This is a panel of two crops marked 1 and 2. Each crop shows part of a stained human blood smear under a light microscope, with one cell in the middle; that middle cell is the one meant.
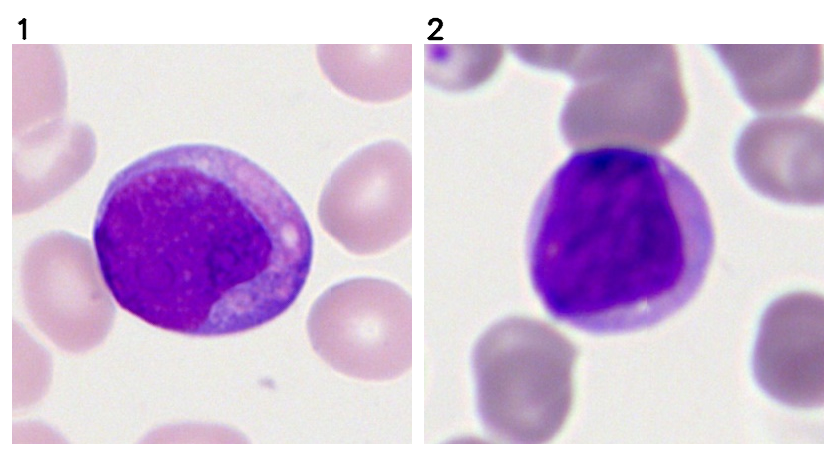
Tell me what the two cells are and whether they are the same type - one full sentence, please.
Yes, the reply for both crops is blasts.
